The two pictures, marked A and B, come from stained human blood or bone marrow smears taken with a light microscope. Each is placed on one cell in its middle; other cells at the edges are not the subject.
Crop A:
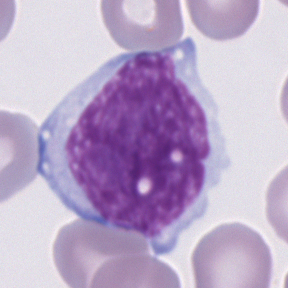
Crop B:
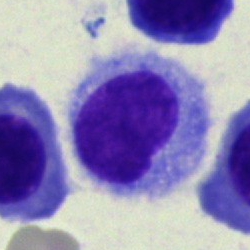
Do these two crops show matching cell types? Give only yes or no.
no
